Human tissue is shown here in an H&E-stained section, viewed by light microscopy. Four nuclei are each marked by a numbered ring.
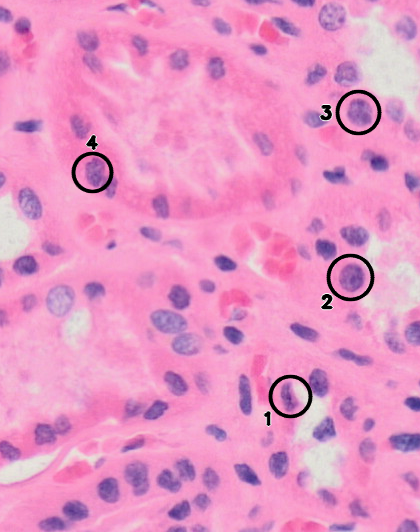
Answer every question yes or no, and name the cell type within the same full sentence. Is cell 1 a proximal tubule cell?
No, cell 1 counts as a loop of Henle or distal tubule cell rather than as a proximal tubule cell.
